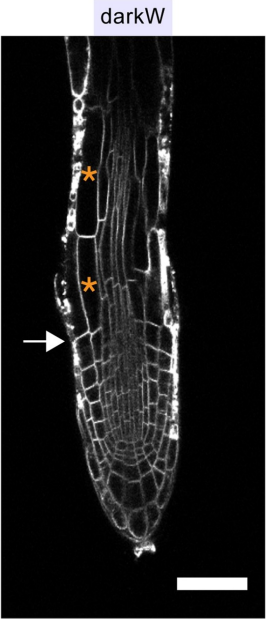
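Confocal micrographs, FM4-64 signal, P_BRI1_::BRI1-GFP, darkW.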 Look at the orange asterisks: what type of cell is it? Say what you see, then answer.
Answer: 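The marked cells are several times longer than wide. They lie just above the zone of small compact cells.
Answer: highly elongated cells at the very beginning of the elongation zone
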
